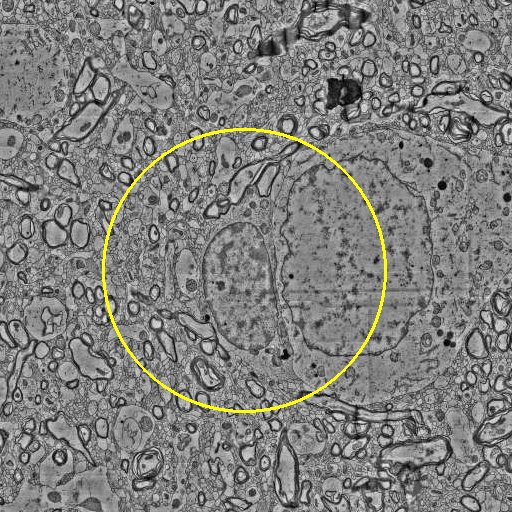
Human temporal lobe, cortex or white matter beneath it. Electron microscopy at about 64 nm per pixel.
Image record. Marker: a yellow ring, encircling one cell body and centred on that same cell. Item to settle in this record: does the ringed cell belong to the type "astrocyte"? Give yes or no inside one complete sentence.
No, in the picture, the cell centred within the yellow ring is of a different type.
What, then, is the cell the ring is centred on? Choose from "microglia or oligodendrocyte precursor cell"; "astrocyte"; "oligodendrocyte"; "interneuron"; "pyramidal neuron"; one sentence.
The ring holds an oligodendrocyte at its centre.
